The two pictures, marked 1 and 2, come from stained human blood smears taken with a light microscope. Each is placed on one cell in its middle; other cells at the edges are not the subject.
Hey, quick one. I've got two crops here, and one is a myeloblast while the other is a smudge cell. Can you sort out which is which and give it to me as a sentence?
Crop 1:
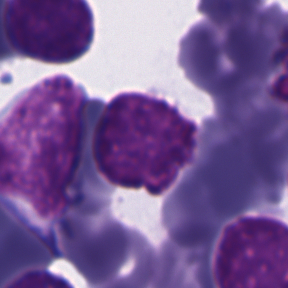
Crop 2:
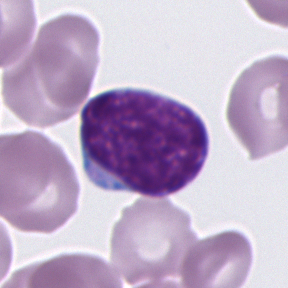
In this set, crop 1 shows a smudge cell and crop 2 shows a myeloblast.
